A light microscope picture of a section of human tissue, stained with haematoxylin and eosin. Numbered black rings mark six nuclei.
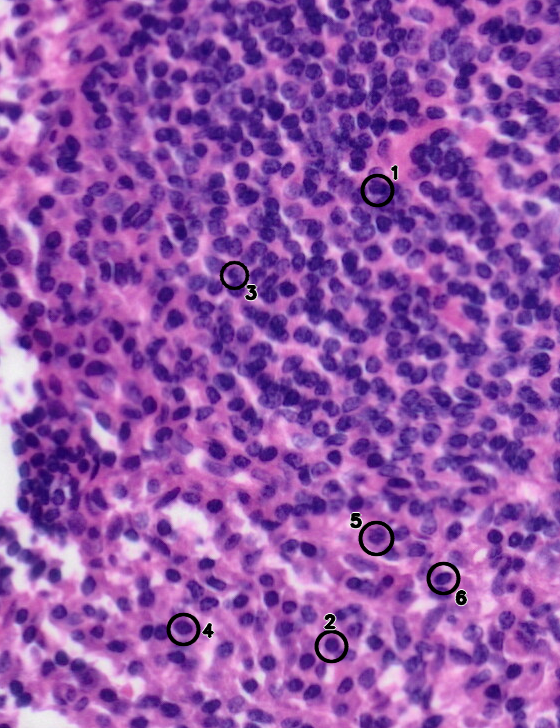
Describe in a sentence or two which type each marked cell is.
Cells 1 and 3 are small lymphocytes. Cells 2, 4, 5 and 6 are plasma cells.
